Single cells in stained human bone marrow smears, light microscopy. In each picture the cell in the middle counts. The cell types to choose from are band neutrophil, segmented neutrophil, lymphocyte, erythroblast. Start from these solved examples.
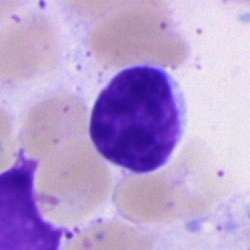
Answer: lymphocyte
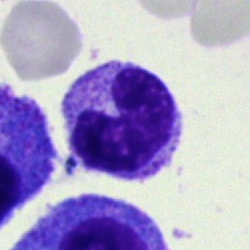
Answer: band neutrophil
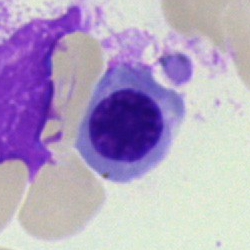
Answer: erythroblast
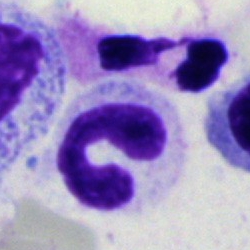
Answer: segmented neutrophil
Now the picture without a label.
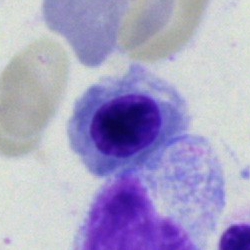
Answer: erythroblast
